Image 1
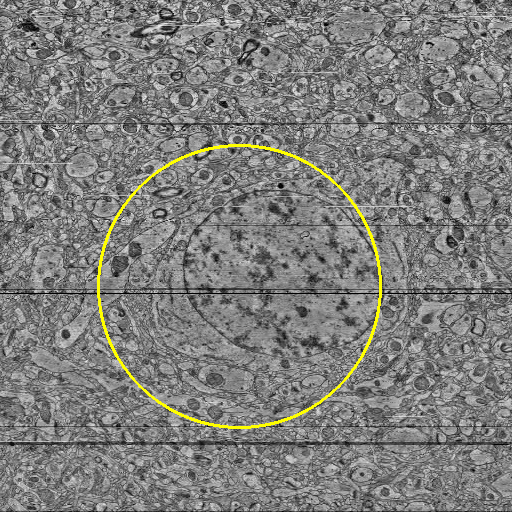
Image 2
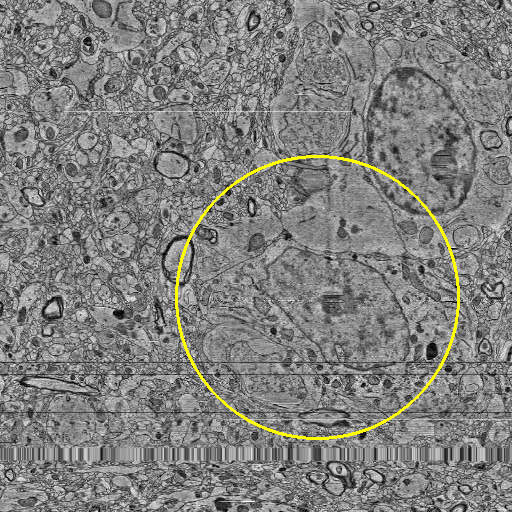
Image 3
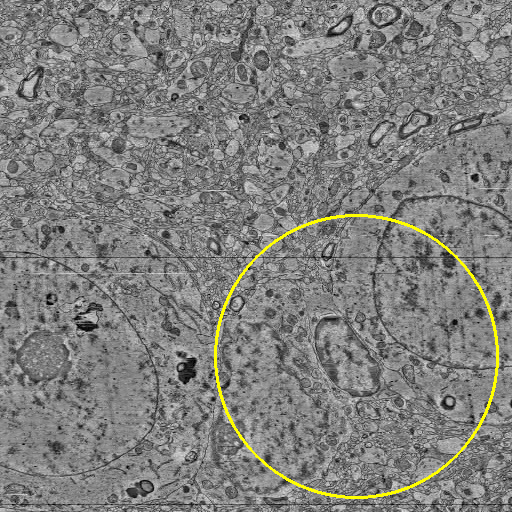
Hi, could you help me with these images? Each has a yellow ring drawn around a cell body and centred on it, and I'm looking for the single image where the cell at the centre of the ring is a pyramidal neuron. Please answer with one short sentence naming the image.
It is Image 1 that has it at the centre of its ring.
